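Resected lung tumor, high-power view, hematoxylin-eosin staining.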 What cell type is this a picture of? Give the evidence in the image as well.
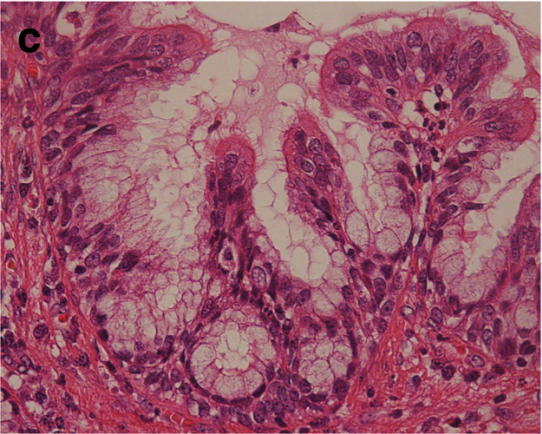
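Ciliated columnar cells, goblet cells and basal cells. Many cells have pale, bubbly, clear cytoplasm filled with vacuoles. Tall columnar cells with elongated nuclei line the surface. Small nuclei sit along the base of the epithelium next to the pink stroma.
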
